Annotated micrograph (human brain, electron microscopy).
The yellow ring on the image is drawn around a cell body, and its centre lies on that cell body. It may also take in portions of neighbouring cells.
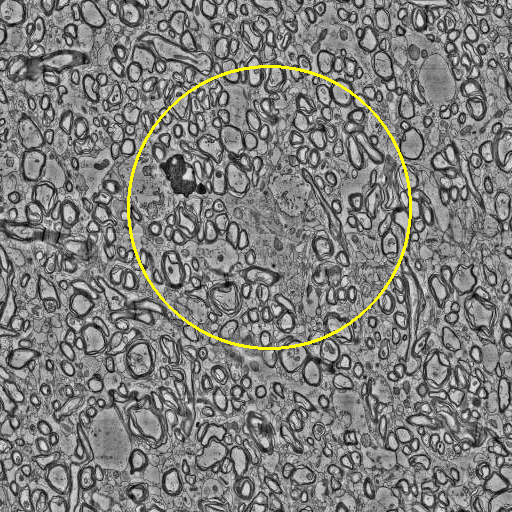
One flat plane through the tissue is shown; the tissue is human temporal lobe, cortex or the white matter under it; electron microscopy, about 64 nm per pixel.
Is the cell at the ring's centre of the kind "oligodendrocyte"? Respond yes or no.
Yes, it is of the named kind.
